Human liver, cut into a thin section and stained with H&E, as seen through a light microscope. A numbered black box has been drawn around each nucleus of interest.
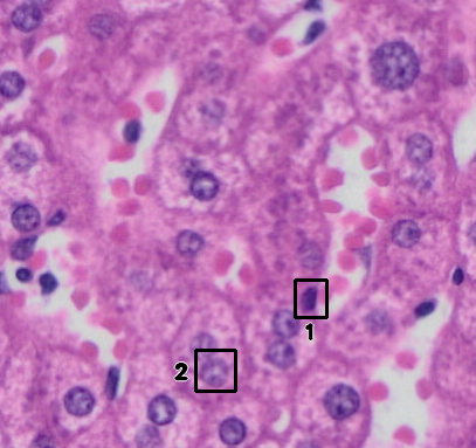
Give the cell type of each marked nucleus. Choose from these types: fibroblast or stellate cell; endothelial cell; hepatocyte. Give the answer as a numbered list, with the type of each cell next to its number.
1. fibroblast or stellate cell
2. hepatocyte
